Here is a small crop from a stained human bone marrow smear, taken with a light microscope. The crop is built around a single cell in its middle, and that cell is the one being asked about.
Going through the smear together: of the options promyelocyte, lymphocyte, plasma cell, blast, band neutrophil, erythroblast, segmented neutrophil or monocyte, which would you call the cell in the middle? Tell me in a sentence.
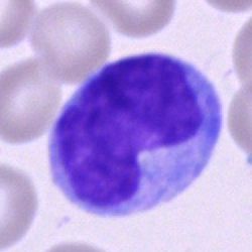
At the center of the crop sits a monocyte.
